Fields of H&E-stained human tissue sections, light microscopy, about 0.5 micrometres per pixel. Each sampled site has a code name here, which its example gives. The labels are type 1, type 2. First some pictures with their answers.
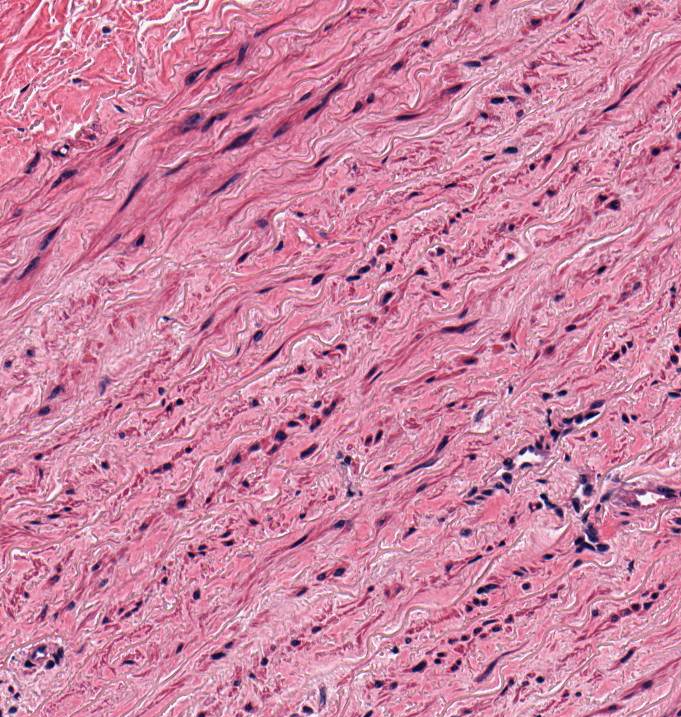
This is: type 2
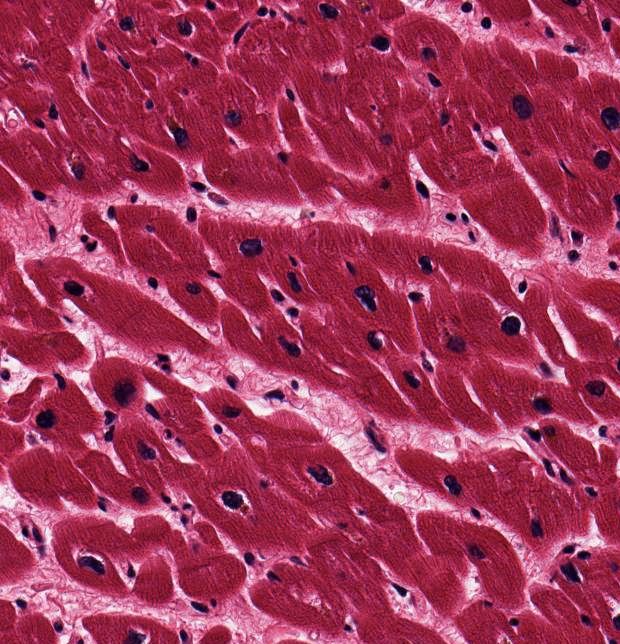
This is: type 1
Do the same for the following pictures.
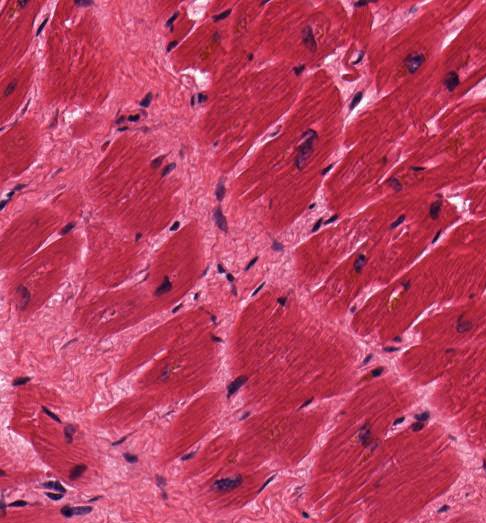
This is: type 1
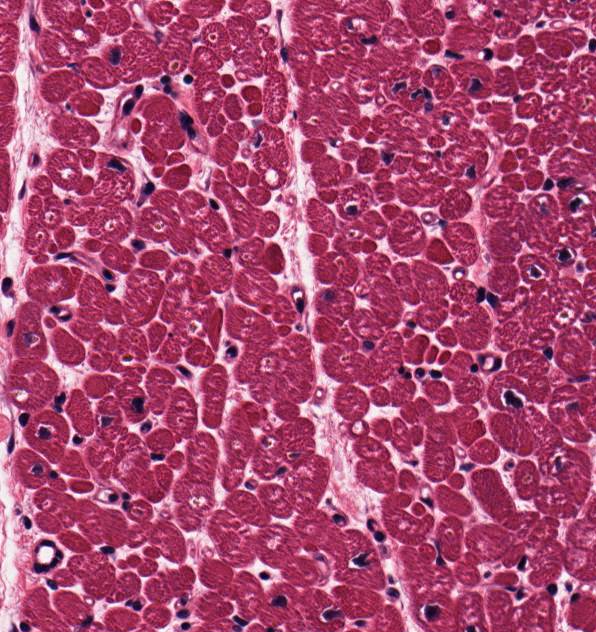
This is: type 1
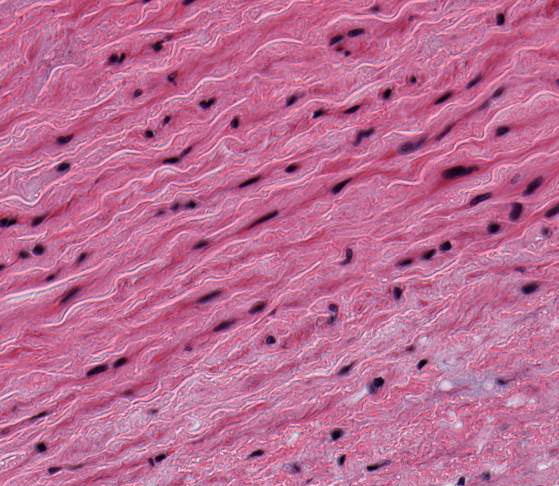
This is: type 2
